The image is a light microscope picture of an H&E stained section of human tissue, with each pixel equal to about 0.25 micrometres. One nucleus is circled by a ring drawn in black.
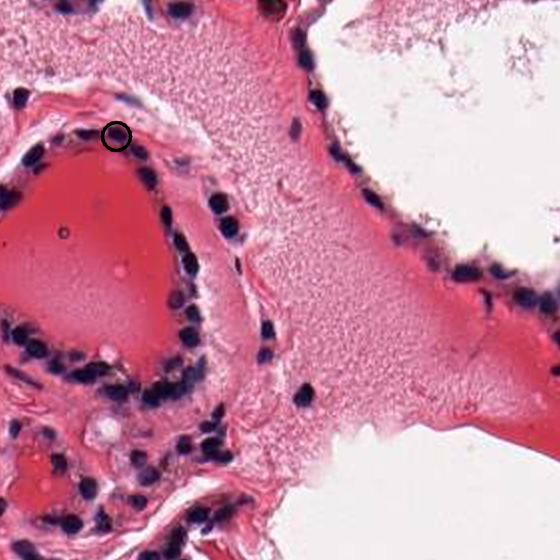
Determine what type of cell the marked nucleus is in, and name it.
thyroid follicular cell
